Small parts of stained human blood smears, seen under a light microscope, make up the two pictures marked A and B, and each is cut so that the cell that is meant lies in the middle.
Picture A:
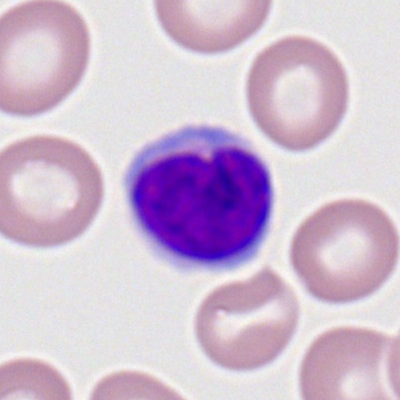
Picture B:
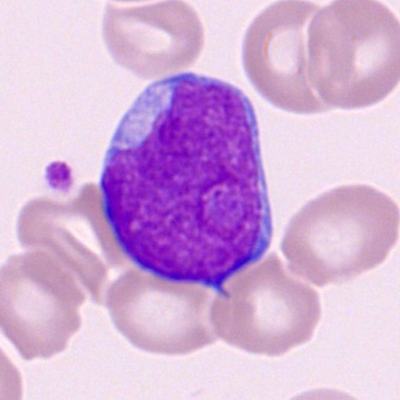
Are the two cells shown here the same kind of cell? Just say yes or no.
no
